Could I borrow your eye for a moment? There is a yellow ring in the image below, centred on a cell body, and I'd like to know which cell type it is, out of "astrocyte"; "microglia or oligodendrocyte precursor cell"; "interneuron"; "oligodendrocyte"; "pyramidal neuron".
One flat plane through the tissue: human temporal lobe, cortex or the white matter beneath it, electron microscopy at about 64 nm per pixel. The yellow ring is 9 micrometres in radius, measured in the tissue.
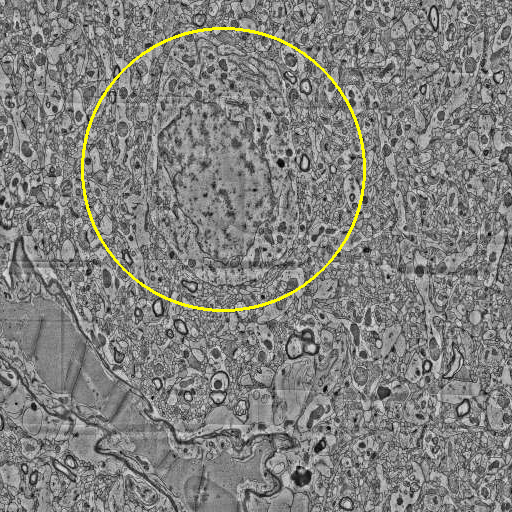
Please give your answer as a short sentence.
The cell body at the centre is that of an interneuron.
